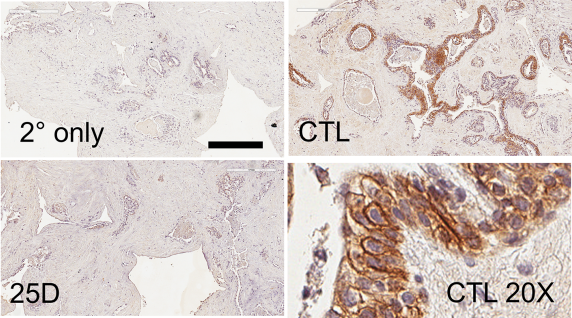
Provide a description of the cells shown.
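Four views of slices of glandular tissue counterstained in pale blue, with many irregular, branching glands lying in a paler stroma. In two low-power views the glands are barely stained, showing only blue nuclei and faint background. In the third low-power view the epithelium lining the gland lumens is strongly brown.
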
